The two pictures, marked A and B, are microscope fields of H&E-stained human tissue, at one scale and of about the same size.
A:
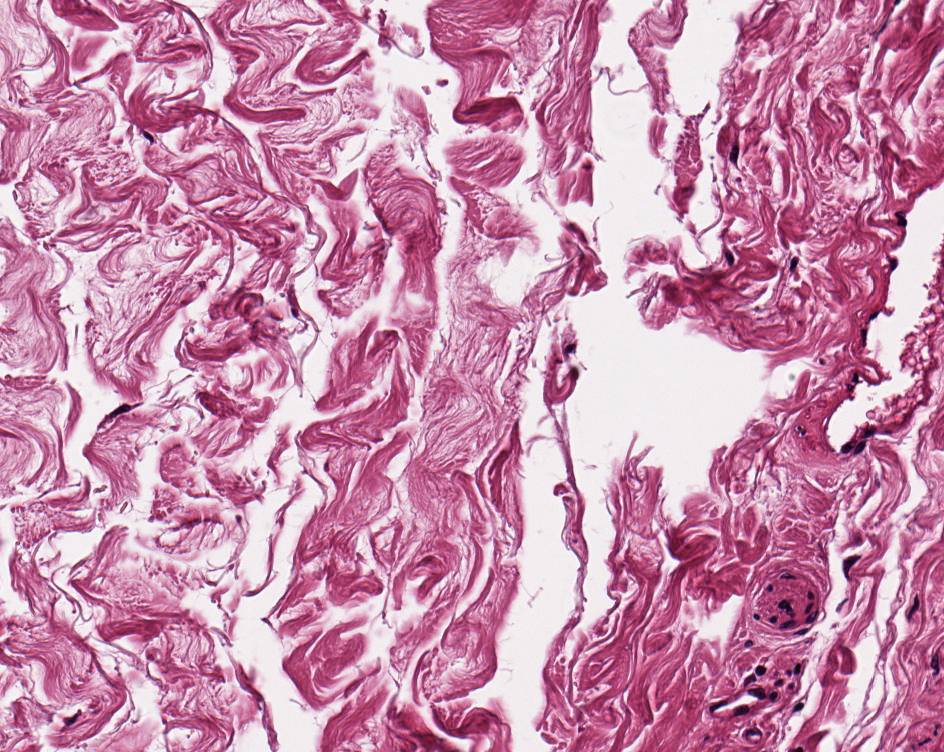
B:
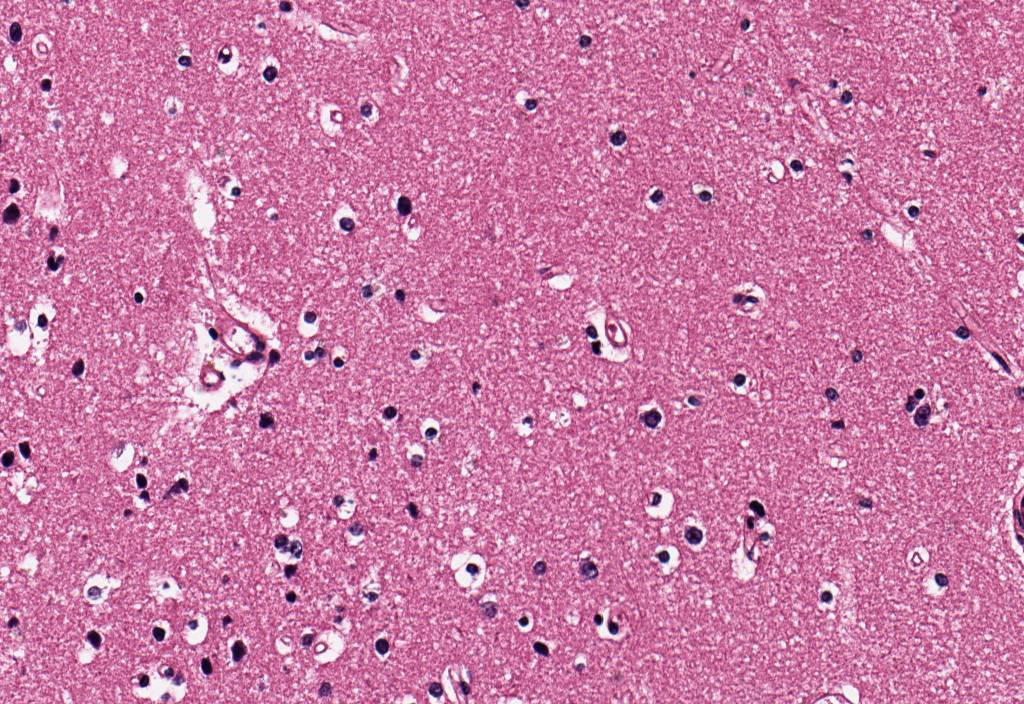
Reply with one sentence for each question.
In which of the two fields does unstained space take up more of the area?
More of field A is empty and white.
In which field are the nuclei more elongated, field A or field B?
Longer, more slender nuclei lie in field A.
